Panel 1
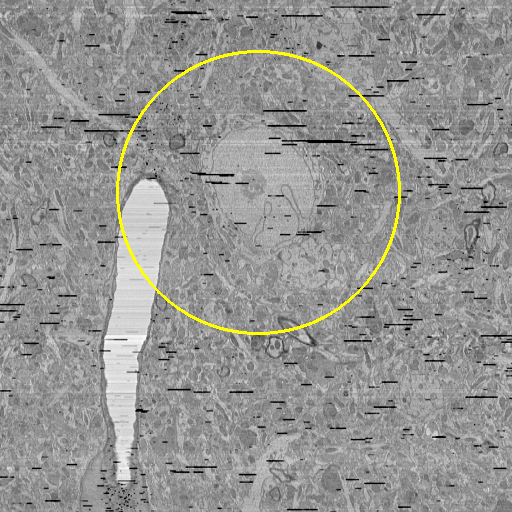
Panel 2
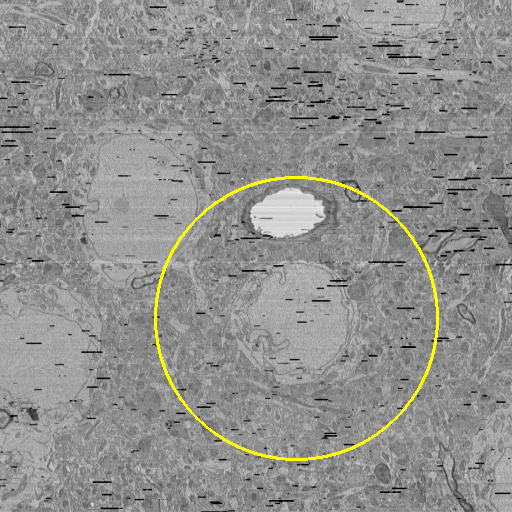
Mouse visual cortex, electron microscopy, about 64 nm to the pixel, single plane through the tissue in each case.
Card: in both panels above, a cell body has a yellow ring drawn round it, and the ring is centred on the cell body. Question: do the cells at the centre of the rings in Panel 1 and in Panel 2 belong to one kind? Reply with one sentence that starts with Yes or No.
Yes, the cells centred in the rings of Panel 1 and Panel 2 are one kind of cell.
